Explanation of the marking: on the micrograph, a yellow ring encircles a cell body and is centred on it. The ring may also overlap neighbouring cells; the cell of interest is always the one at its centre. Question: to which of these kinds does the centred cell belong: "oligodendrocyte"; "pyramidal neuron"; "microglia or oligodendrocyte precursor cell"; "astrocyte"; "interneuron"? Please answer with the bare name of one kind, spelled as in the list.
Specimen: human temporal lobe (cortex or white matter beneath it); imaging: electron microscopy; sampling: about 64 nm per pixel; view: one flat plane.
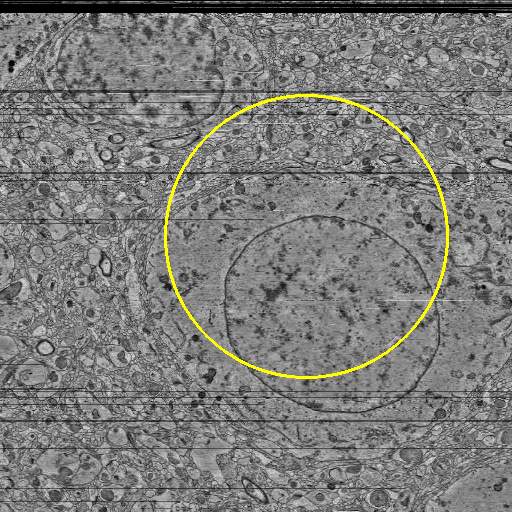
pyramidal neuron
